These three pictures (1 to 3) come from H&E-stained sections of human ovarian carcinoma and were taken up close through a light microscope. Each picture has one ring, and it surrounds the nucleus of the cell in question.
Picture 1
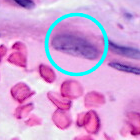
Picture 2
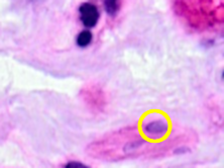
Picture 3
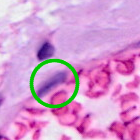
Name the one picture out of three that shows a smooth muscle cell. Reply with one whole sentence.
Picture 2 shows the smooth muscle cell.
